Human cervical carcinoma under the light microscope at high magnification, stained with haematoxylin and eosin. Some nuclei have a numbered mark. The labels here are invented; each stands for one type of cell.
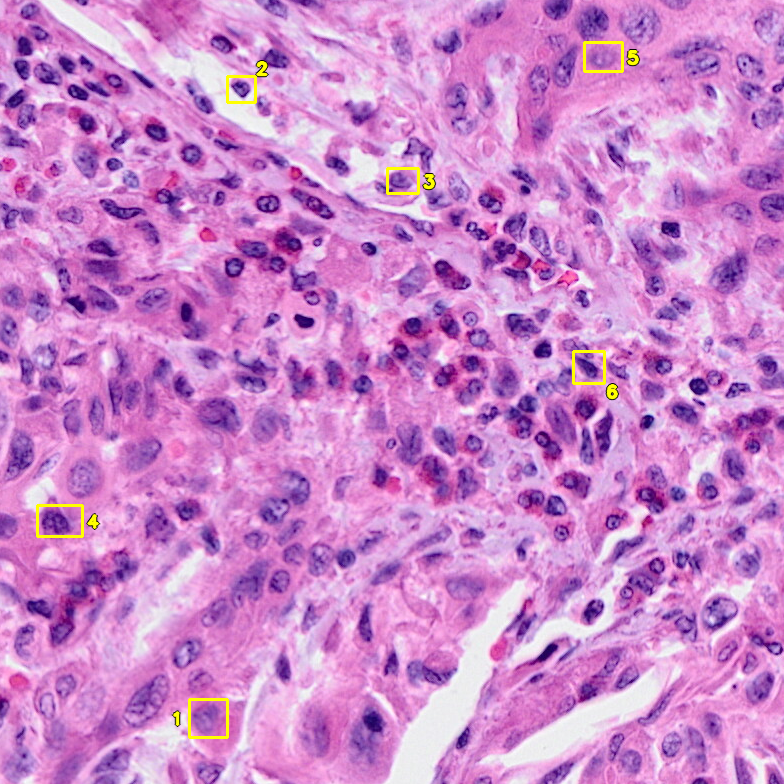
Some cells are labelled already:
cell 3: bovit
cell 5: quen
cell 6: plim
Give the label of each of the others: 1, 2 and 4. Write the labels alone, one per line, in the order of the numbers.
quen
plim
quen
